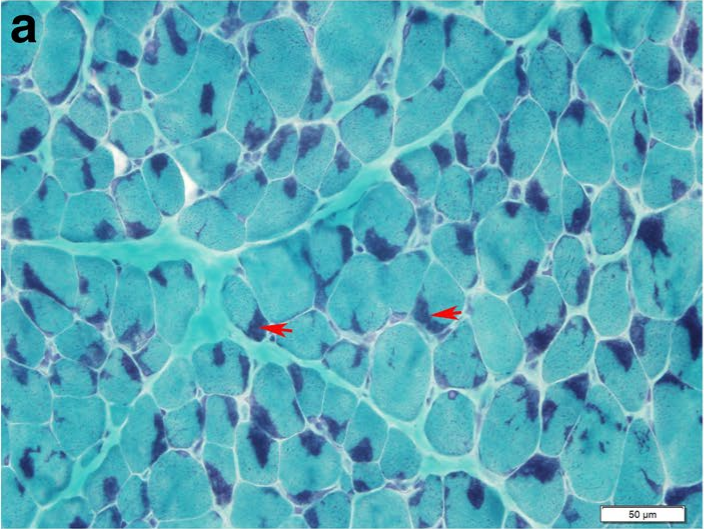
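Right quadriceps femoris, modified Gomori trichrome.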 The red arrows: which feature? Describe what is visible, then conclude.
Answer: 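Dark blue-purple granular clusters lie inside many fibres. The clusters sit mostly at the edge of the fibres, under the fibre border. The rest of the fibre cytoplasm is pale blue-green.
Nemaline rods.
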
